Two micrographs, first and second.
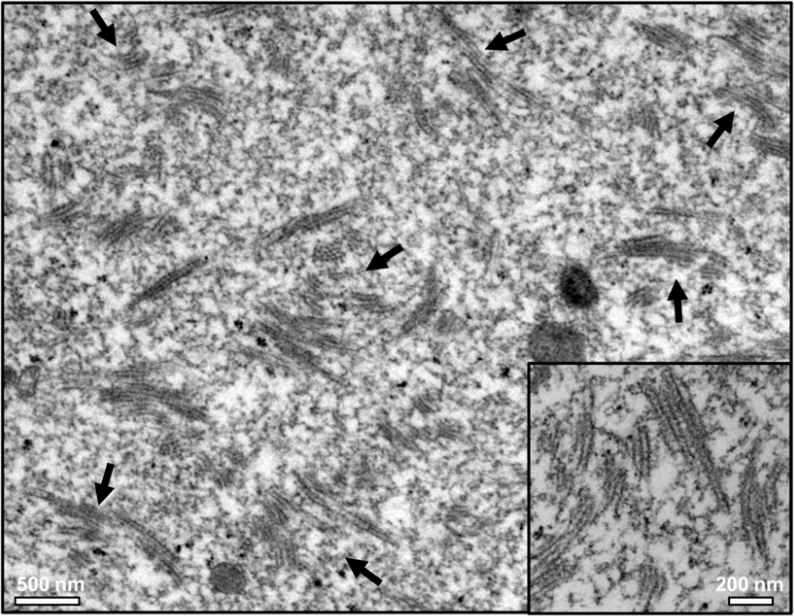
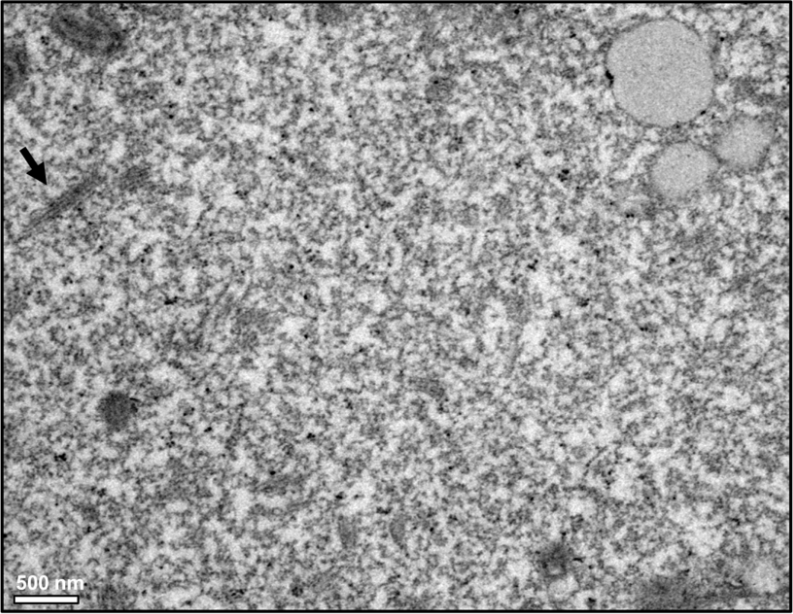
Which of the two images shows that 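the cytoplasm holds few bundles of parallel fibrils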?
The second image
